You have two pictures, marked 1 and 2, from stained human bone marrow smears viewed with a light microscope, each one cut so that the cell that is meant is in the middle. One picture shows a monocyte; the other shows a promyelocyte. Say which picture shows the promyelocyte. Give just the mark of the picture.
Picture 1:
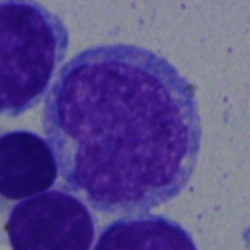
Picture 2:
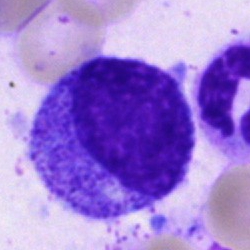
2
